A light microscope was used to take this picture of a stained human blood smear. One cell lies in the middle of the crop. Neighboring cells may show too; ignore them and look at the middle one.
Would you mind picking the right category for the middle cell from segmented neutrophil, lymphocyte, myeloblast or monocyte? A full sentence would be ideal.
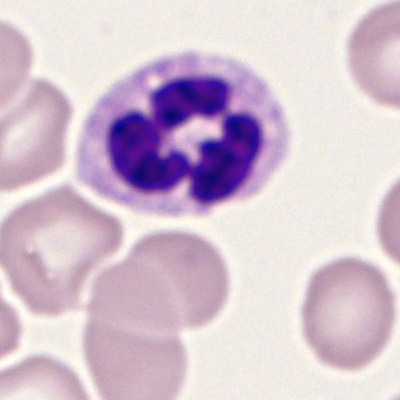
Where the crop is centred, there is a segmented neutrophil.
